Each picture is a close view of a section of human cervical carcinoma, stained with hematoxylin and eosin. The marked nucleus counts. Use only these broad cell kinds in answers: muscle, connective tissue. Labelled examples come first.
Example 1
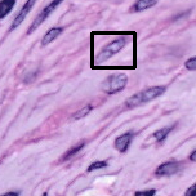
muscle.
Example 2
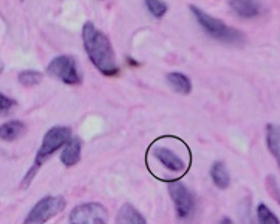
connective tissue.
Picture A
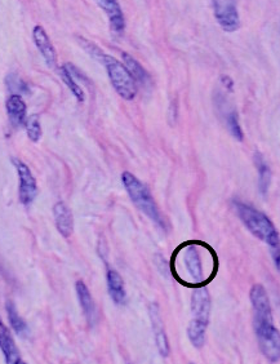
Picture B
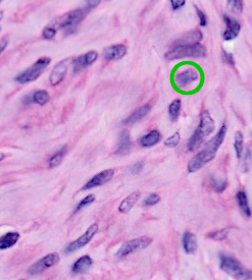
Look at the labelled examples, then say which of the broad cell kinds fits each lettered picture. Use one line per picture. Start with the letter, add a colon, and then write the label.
A: muscle.
B: muscle.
